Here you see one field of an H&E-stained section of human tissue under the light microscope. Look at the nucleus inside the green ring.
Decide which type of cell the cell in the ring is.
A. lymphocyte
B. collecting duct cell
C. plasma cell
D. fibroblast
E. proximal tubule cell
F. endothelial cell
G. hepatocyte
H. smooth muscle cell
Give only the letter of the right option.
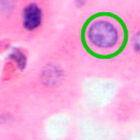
E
